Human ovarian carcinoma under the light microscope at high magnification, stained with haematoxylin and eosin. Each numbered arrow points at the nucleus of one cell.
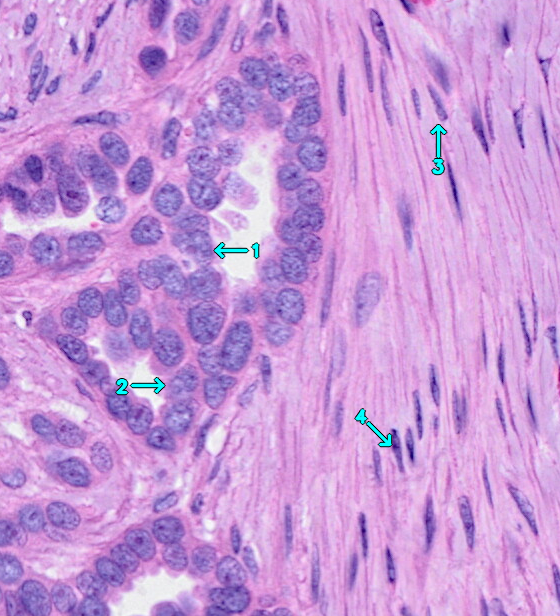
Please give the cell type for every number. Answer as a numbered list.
1. carcinoma cell
2. carcinoma cell
3. fibroblast
4. fibroblast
